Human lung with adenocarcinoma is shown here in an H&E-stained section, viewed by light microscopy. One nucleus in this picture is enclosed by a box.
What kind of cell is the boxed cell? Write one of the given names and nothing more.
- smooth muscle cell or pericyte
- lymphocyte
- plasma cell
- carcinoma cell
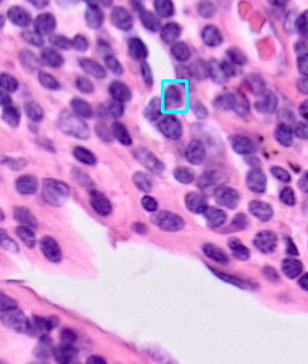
lymphocyte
